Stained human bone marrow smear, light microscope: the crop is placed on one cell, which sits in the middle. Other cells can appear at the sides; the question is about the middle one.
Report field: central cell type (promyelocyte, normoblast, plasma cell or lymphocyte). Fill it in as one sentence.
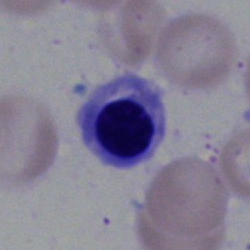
Positioned in the middle of the crop is a normoblast.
